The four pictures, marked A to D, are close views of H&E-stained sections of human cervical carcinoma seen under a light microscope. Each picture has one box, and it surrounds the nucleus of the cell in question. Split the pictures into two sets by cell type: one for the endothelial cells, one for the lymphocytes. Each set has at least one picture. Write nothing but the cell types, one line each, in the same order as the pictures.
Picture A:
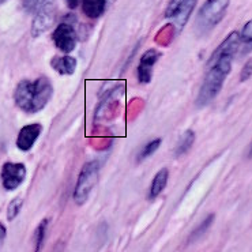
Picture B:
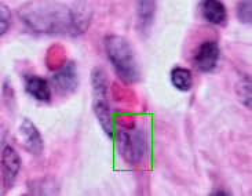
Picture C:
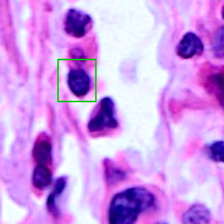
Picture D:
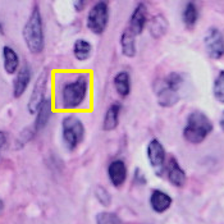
endothelial cell
endothelial cell
lymphocyte
lymphocyte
